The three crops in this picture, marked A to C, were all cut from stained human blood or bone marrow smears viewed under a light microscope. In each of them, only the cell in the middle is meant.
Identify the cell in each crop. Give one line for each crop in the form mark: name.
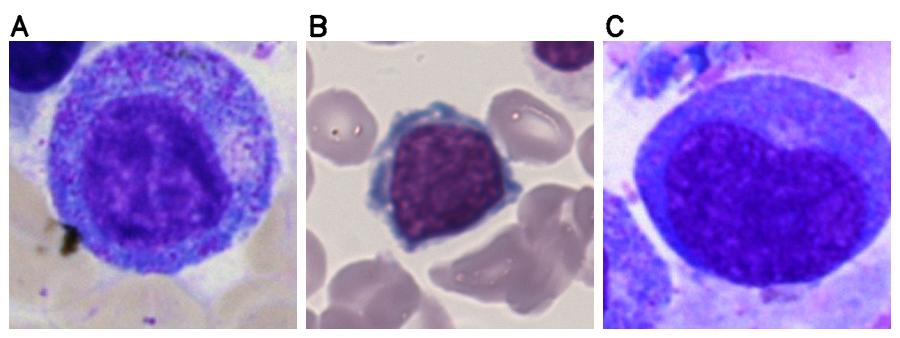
A: promyelocyte
B: blast
C: promyelocyte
